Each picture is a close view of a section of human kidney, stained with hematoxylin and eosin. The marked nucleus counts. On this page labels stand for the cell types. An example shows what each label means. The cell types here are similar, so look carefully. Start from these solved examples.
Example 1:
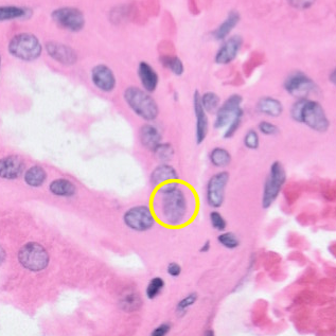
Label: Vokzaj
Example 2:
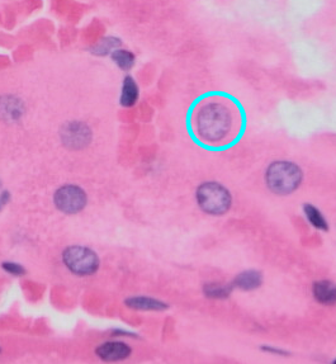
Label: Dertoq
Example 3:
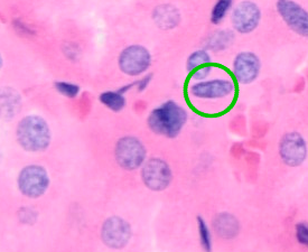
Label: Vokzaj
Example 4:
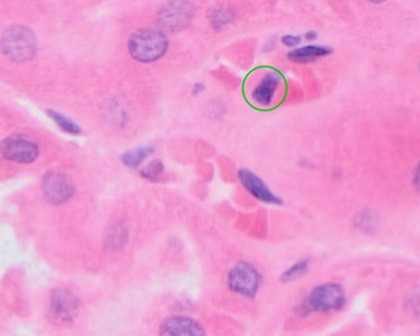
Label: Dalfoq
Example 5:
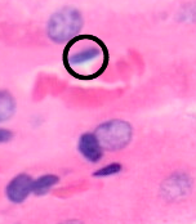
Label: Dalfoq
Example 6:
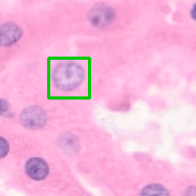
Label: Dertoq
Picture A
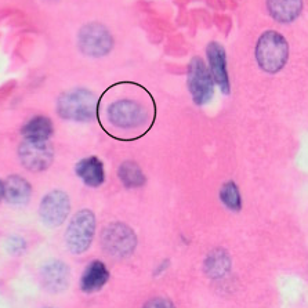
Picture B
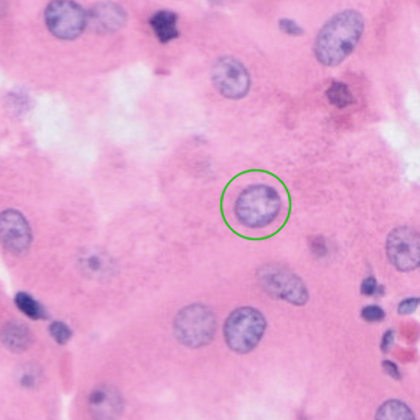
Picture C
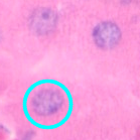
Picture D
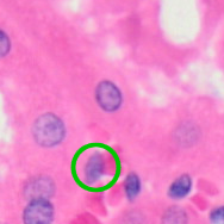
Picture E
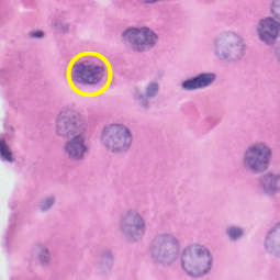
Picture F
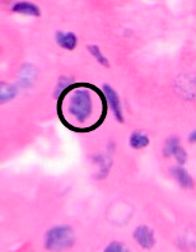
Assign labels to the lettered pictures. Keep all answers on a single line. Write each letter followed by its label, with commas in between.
A Vokzaj, B Dertoq, C Dertoq, D Dalfoq, E Dertoq, F Vokzaj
